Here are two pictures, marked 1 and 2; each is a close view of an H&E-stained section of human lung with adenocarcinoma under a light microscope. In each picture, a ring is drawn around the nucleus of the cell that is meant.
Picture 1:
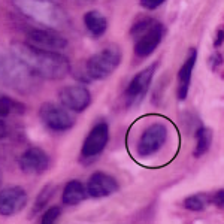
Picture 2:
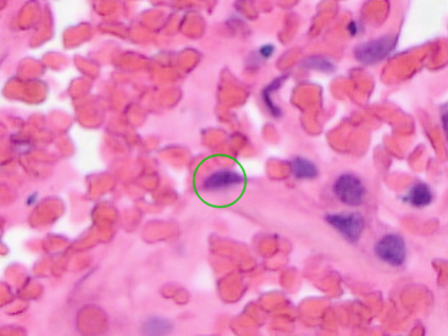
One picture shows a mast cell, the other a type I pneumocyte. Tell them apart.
1: mast cell
2: type I pneumocyte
